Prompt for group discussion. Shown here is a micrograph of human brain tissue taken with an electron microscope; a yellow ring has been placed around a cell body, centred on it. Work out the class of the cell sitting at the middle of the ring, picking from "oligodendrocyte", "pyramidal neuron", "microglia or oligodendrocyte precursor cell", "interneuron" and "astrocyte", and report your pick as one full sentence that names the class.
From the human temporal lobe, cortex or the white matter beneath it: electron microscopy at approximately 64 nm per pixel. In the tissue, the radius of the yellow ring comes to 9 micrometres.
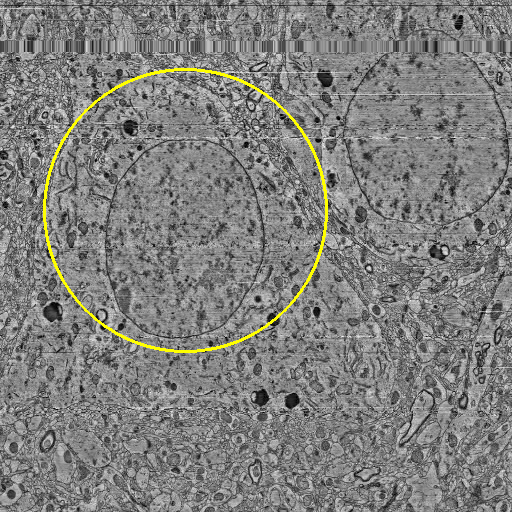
The cell sitting at the middle of the yellow ring is a pyramidal neuron.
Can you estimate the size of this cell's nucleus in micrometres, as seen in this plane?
About 13 by 10 micrometres in this plane.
